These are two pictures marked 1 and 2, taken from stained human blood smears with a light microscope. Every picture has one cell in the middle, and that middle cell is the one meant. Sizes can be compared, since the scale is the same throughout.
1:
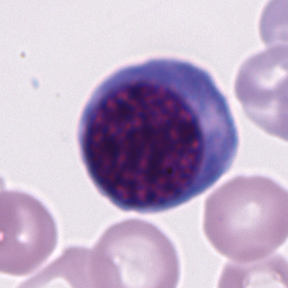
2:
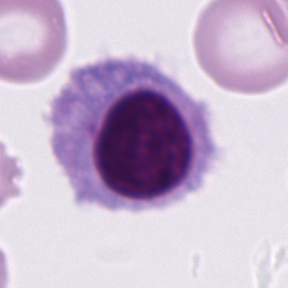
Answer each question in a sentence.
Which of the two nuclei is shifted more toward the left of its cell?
The nucleus in picture 1 lies further toward the left of its cell.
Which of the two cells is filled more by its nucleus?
Of the two, the nucleus in picture 1 makes up the greater part of its cell.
